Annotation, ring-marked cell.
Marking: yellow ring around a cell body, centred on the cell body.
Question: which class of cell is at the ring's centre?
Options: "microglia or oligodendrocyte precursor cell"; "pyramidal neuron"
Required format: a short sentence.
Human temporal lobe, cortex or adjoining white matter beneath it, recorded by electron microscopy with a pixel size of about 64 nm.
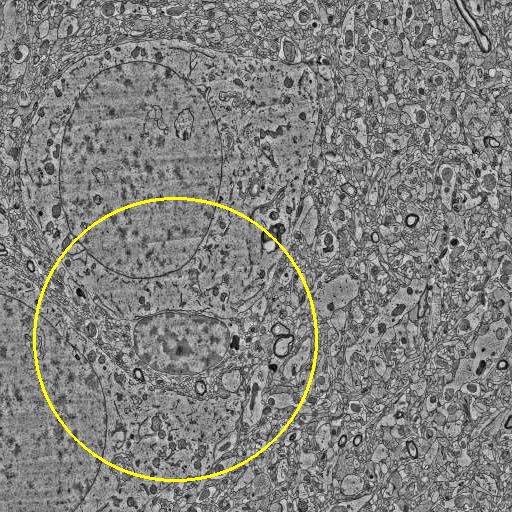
At the ring's centre is a microglial cell or oligodendrocyte precursor cell.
